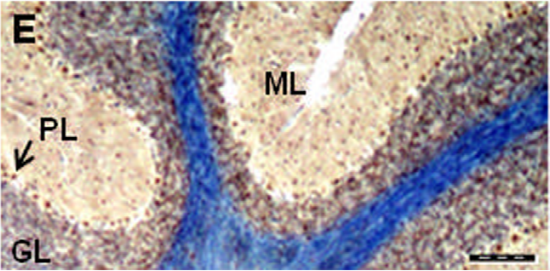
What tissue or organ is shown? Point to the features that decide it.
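Folded lobules with a pale outer layer of sparse cells. A dense inner layer of closely packed small dark nuclei. A blue-stained core tract running between the folds. On this evidence: Cerebellum.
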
